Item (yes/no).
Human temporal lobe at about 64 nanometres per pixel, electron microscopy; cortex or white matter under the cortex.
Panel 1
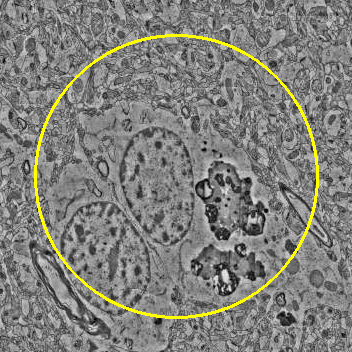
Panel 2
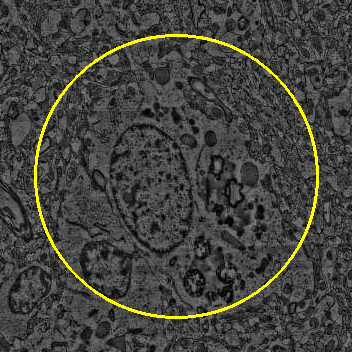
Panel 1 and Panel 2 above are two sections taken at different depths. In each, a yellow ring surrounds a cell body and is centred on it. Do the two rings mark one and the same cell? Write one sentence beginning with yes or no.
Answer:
Yes, a single cell lies behind both yellow marks.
